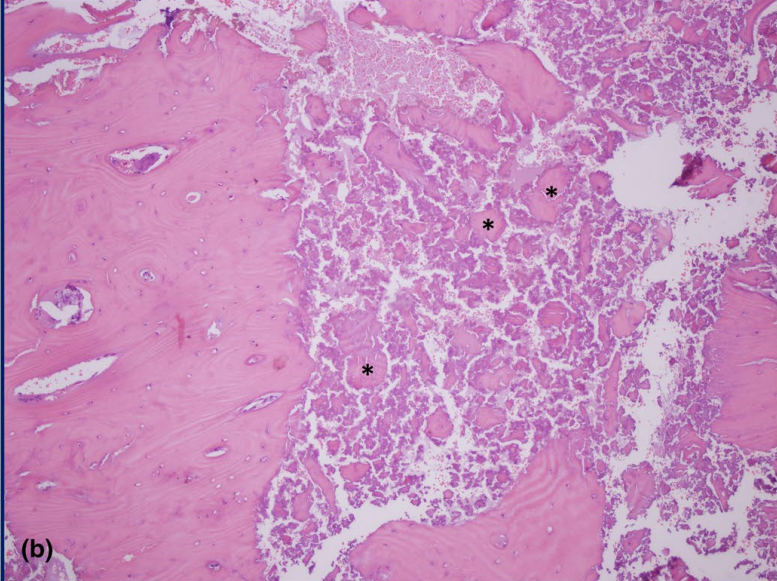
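On the left is compact pink cortical bone with lamellae, small canals and osteocytes in lacunae. To the right it gives way to a crowded, highly cellular area in which irregular islands and strands of pale pink matrix lie scattered.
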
